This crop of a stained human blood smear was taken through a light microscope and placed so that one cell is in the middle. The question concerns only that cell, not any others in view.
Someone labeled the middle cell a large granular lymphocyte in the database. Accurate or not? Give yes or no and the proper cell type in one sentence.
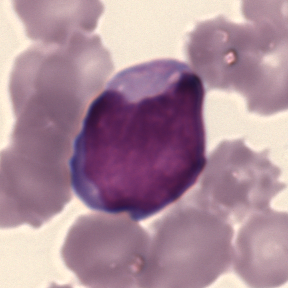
No, the central cell isn't a large granular lymphocyte, but a blast.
